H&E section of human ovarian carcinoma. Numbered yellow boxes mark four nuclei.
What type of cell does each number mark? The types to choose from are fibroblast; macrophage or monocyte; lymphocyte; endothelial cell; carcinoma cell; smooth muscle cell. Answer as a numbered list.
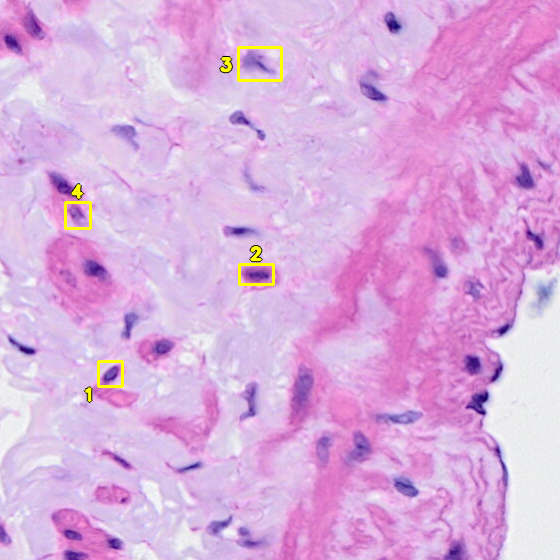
1. smooth muscle cell
2. smooth muscle cell
3. fibroblast
4. smooth muscle cell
